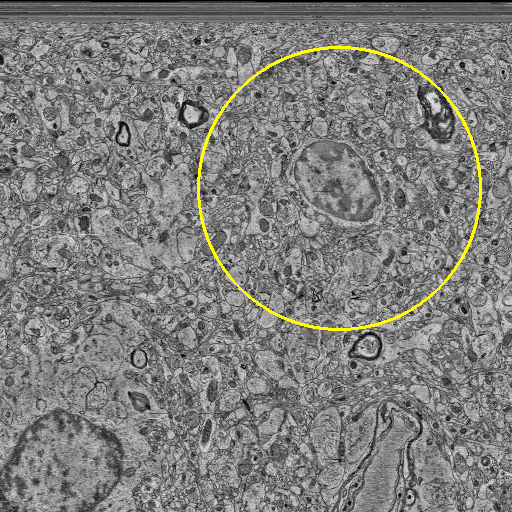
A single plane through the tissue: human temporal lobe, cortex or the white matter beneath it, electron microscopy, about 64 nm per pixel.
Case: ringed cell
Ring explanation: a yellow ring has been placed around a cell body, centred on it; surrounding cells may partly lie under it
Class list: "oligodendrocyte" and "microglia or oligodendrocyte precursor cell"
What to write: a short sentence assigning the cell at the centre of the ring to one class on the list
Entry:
The cell at the ring's centre is a microglial cell or oligodendrocyte precursor cell.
